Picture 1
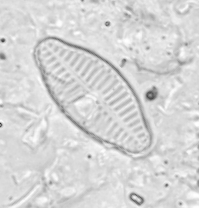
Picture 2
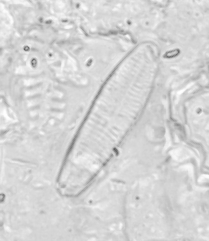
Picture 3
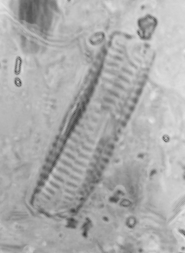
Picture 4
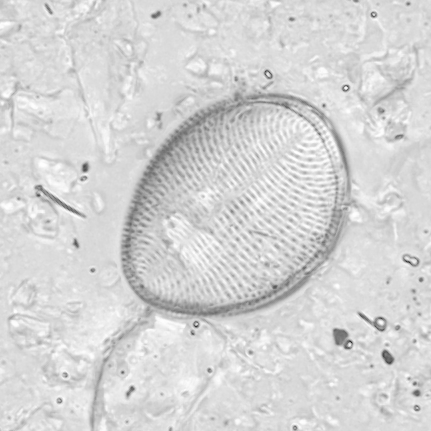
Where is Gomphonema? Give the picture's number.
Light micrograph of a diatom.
3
